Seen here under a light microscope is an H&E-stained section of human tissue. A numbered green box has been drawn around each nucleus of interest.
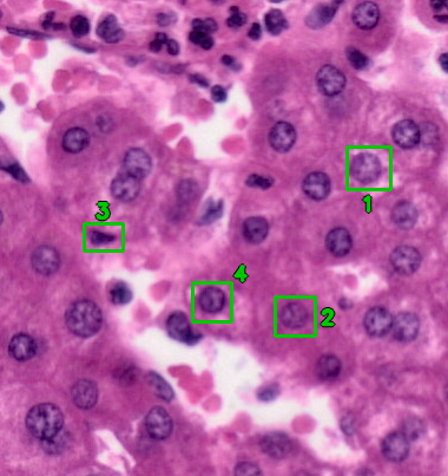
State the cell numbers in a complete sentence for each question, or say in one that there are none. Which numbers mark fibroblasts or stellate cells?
Only the cell carrying number 3 is a fibroblast or stellate cell.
